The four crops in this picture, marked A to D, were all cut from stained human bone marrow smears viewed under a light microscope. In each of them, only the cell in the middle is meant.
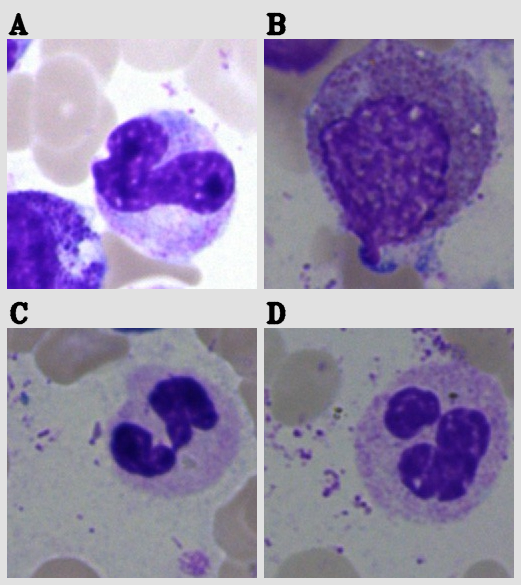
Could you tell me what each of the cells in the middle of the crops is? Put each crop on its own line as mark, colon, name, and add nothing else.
A: segmented neutrophil
B: eosinophil
C: segmented neutrophil
D: segmented neutrophil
